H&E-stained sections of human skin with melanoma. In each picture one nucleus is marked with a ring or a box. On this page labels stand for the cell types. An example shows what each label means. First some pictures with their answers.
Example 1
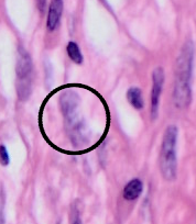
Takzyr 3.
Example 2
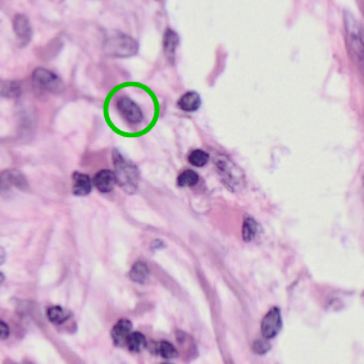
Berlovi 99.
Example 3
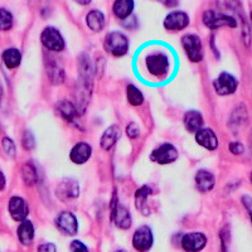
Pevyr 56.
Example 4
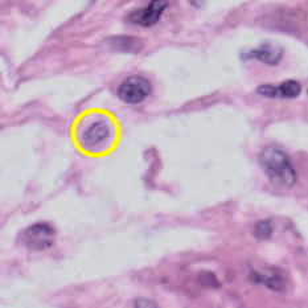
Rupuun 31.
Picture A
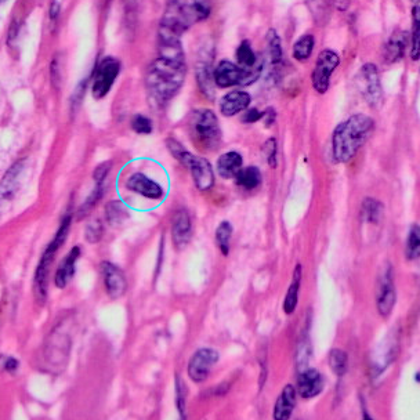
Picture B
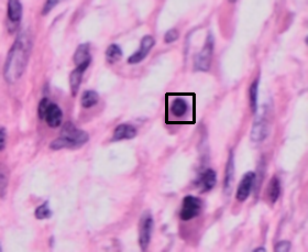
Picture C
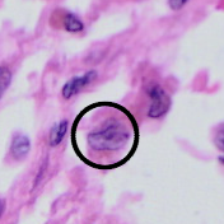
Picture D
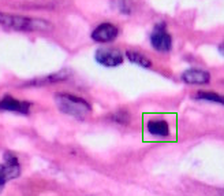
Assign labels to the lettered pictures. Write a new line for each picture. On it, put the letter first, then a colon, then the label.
A: Pevyr 56.
B: Berlovi 99.
C: Rupuun 31.
D: Pevyr 56.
